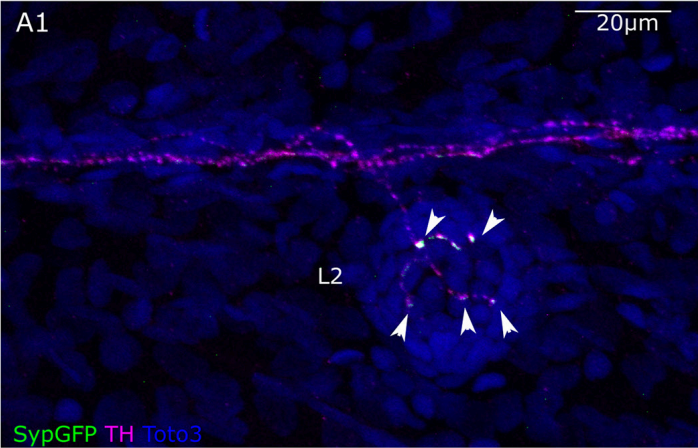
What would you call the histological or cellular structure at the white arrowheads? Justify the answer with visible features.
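The arrowheads point to bright swellings along a thin magenta fiber. Some of these swellings appear white where green and magenta overlap. The swellings lie on the fiber where it loops over a round cluster of nuclei.
Putative synaptic structures.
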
